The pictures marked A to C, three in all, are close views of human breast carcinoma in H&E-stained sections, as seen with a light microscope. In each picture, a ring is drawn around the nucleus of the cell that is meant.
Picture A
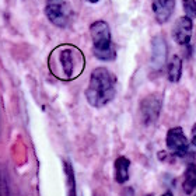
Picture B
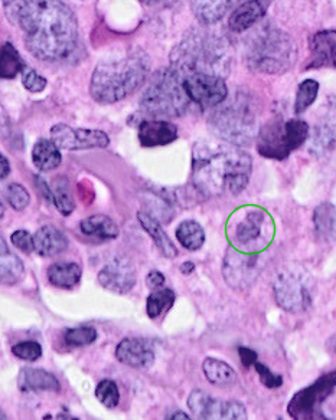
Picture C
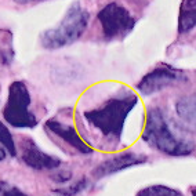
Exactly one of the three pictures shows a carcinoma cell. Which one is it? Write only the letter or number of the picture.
C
